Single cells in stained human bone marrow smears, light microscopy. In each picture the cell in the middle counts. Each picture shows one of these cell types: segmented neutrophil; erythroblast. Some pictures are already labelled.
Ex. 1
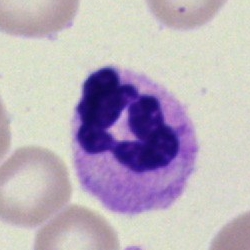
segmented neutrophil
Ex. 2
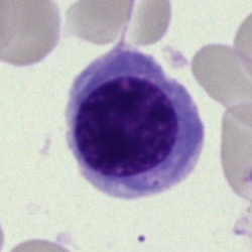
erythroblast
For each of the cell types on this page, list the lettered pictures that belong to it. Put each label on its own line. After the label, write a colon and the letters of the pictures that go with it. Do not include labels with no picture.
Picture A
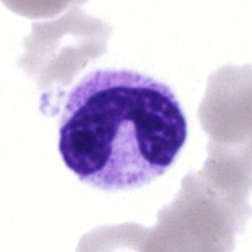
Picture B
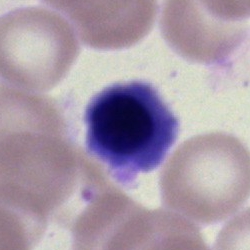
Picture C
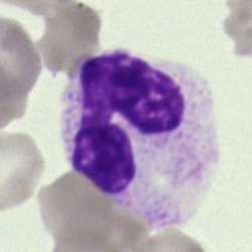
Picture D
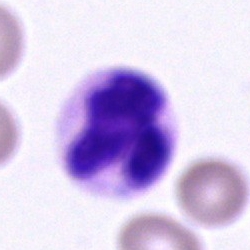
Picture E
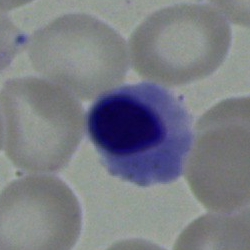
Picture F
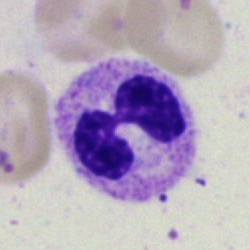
segmented neutrophil: A, C, D, F
erythroblast: B, E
